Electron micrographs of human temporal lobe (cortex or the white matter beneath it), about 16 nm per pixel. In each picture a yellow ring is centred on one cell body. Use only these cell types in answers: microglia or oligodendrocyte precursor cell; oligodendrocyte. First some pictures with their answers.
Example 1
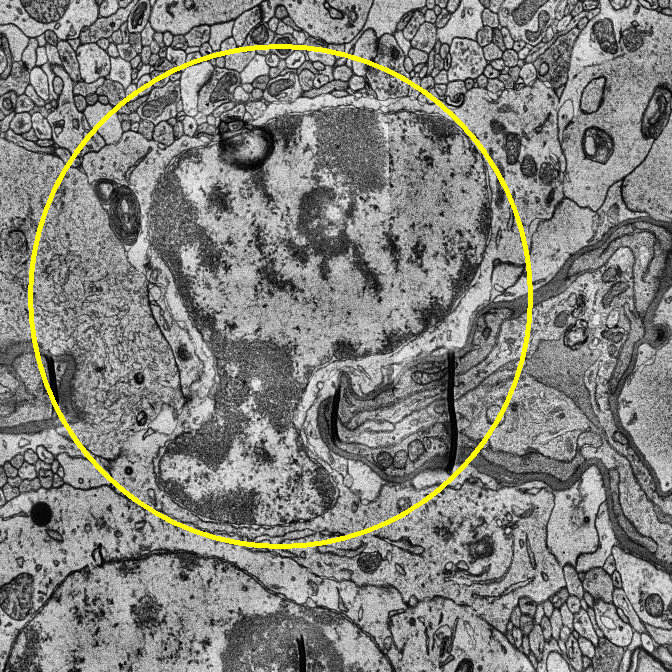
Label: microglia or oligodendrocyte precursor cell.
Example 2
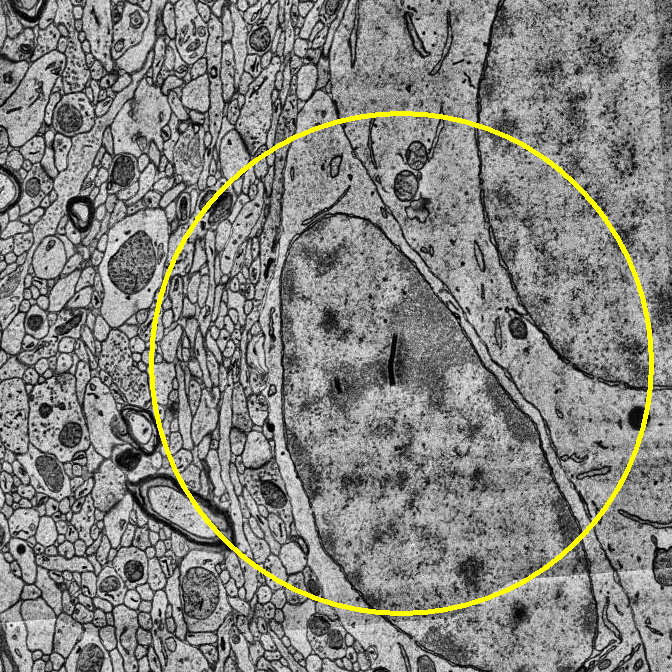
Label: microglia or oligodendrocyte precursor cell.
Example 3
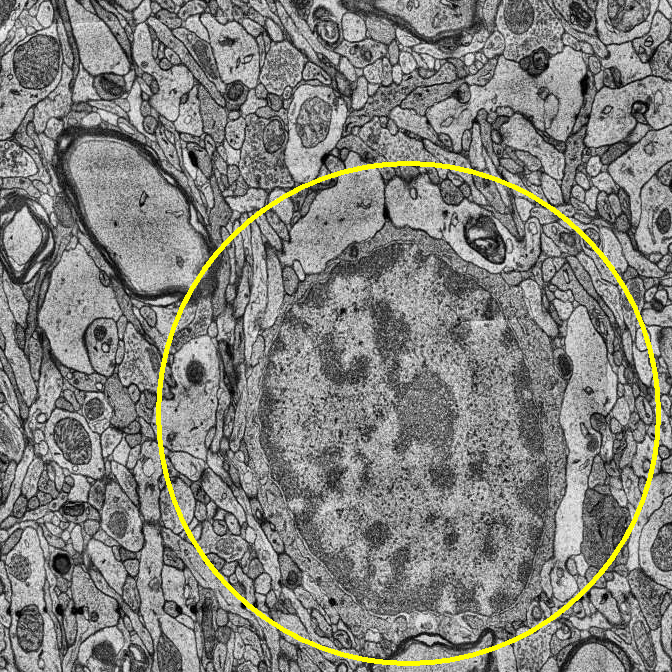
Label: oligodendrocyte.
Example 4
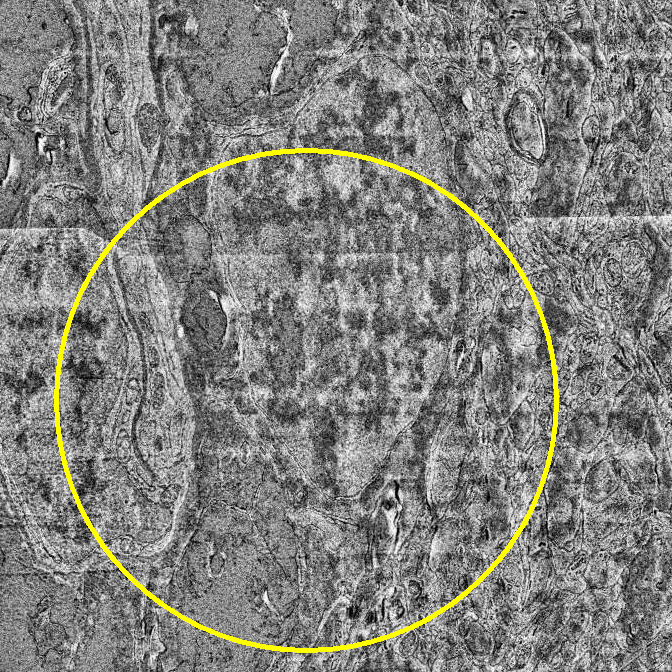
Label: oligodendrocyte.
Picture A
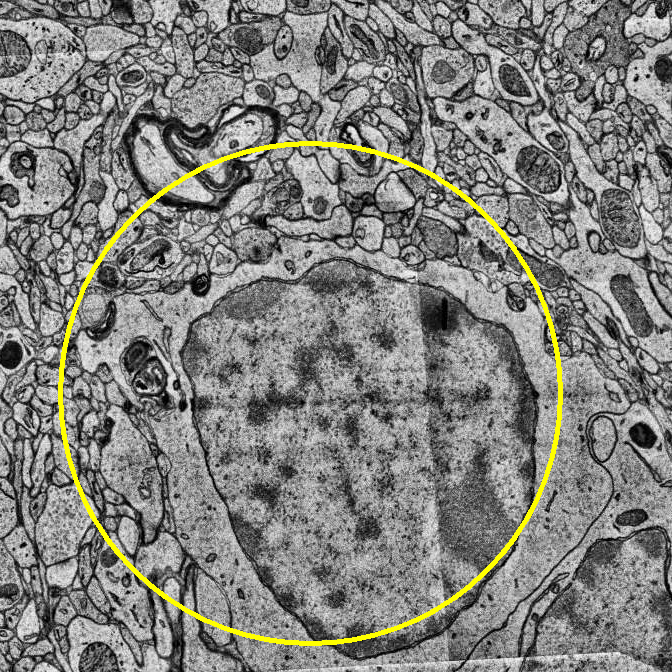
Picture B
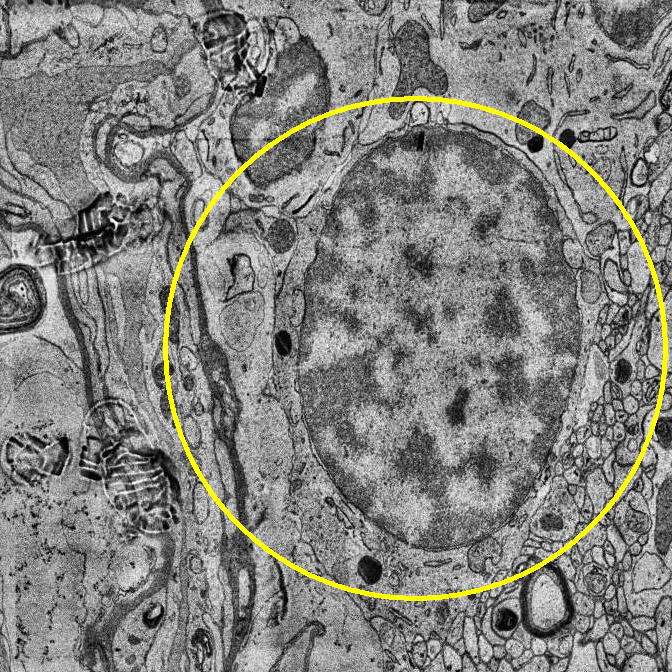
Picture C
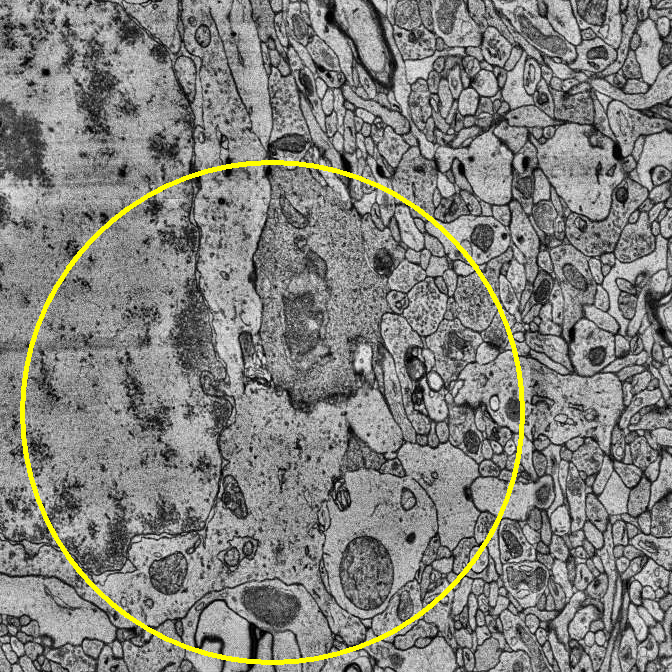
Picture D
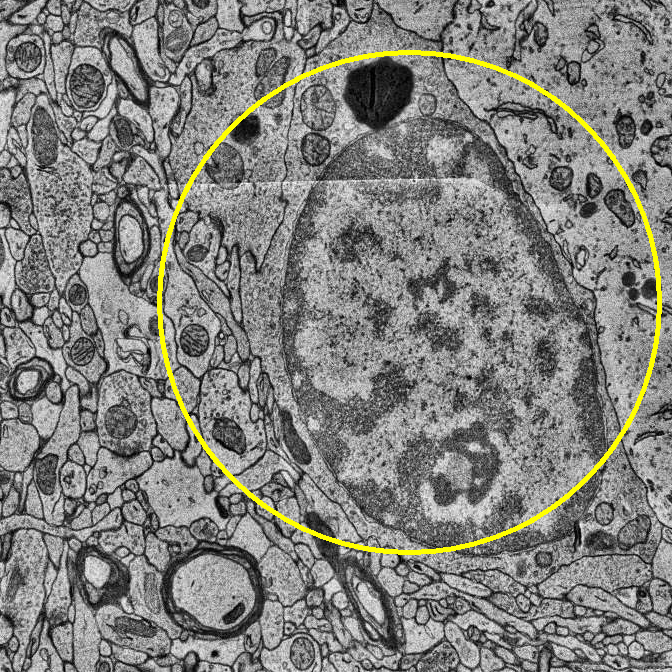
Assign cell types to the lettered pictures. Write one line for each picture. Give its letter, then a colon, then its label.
A: microglia or oligodendrocyte precursor cell.
B: oligodendrocyte.
C: oligodendrocyte.
D: oligodendrocyte.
